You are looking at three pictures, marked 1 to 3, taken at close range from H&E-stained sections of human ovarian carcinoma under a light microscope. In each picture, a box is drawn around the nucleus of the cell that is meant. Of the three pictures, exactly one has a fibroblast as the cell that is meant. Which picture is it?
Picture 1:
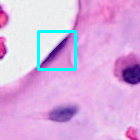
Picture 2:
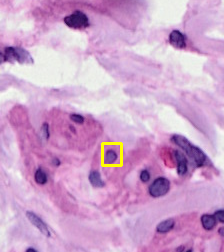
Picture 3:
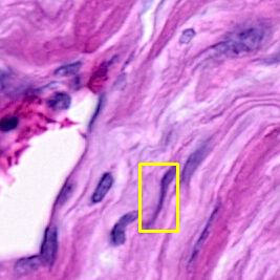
3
